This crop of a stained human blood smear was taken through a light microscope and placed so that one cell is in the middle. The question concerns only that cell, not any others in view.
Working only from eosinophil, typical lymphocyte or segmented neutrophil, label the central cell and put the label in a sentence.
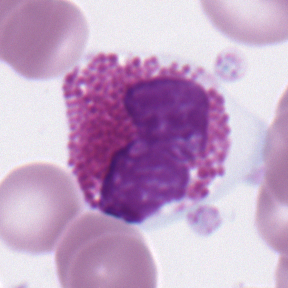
In the middle of this smear crop, the cell is an eosinophil.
